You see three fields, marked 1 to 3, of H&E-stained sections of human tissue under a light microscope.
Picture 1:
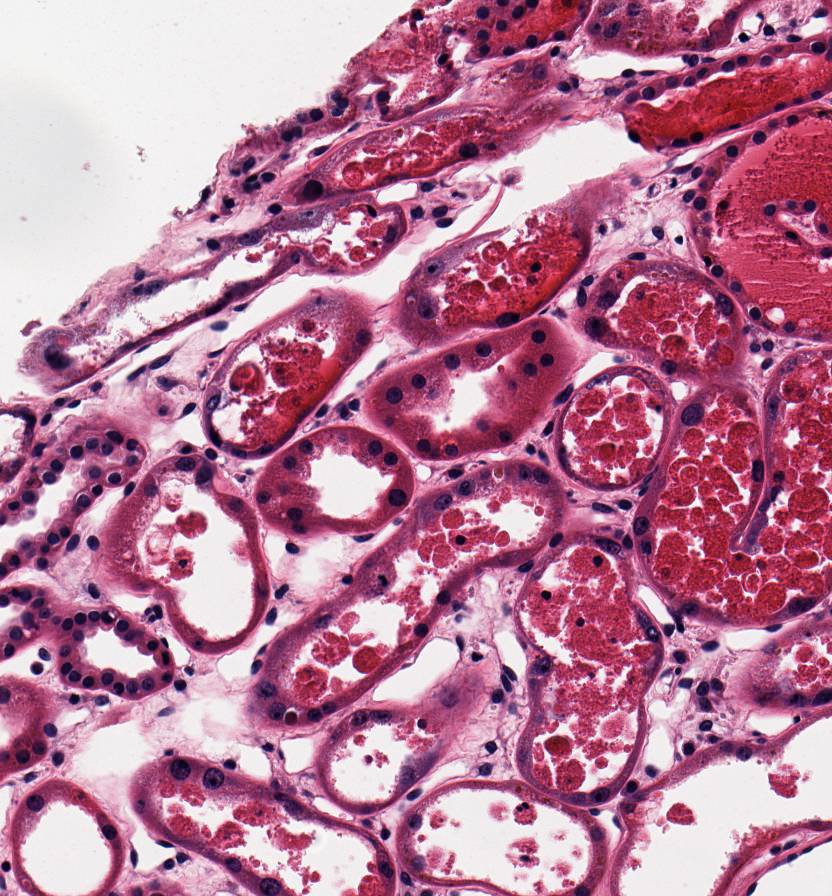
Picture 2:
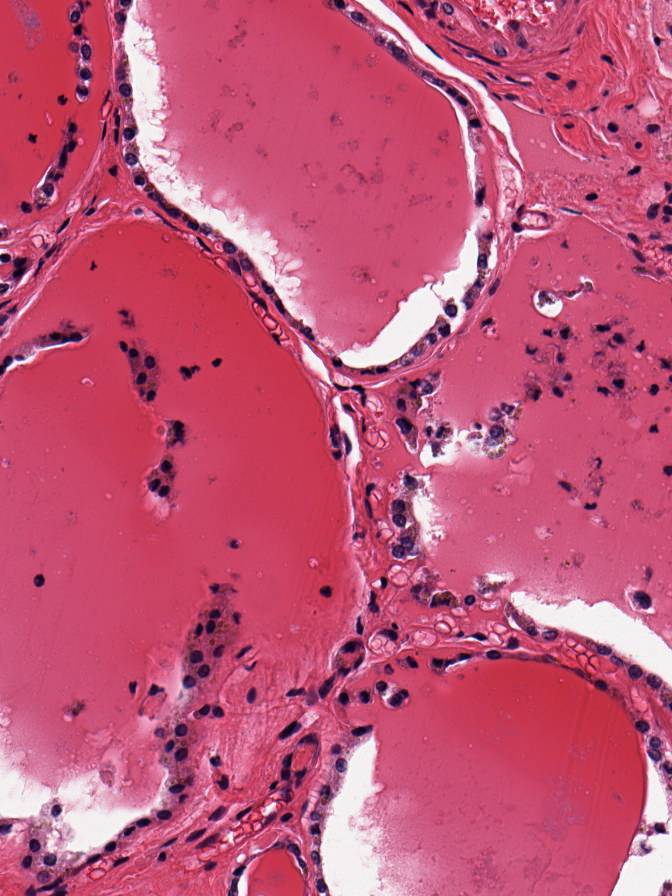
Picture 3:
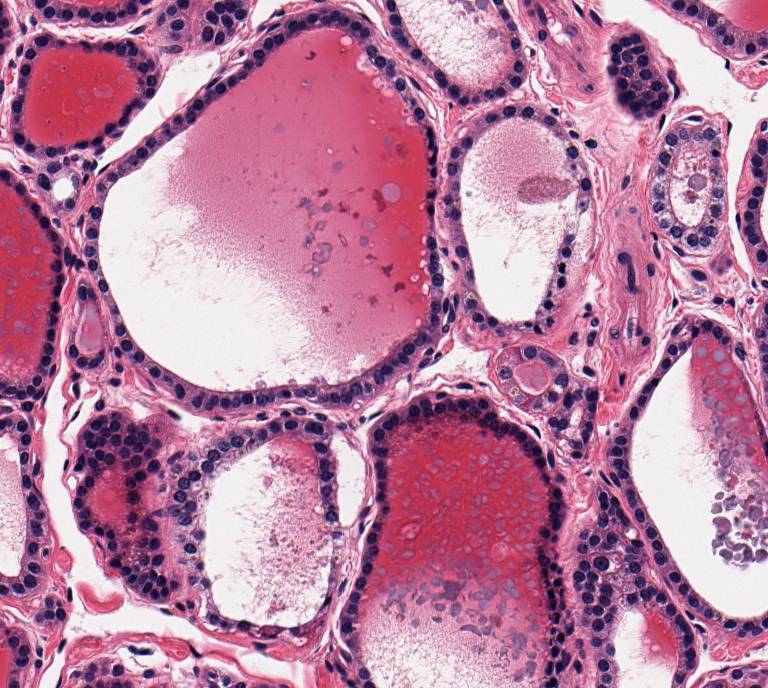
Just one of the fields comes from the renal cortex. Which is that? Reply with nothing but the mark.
1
